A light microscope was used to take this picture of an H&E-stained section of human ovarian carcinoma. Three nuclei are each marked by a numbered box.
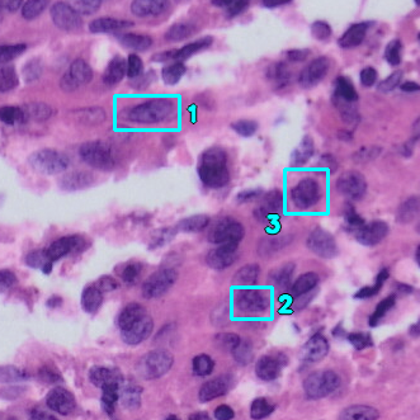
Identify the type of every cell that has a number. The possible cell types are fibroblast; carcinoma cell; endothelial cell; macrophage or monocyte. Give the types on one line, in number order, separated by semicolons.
endothelial cell; carcinoma cell; carcinoma cell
